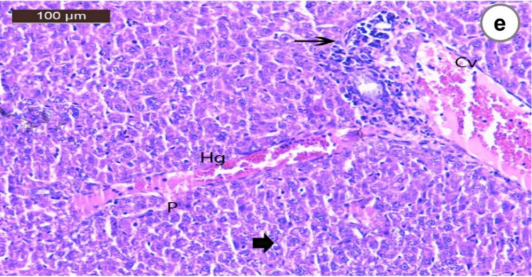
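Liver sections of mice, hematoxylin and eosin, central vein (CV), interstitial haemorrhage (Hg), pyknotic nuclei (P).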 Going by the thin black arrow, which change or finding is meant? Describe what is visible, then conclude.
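A dense cluster of small, dark purple round nuclei lies beside the large vessel. The cluster contrasts with the larger, paler polygonal cells around it. So: inflammatory cell infiltrates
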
